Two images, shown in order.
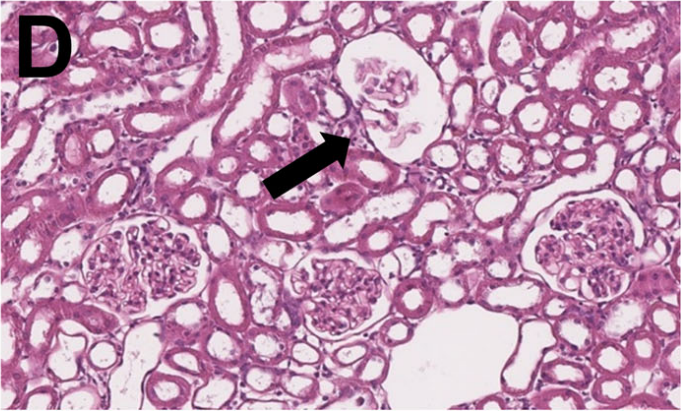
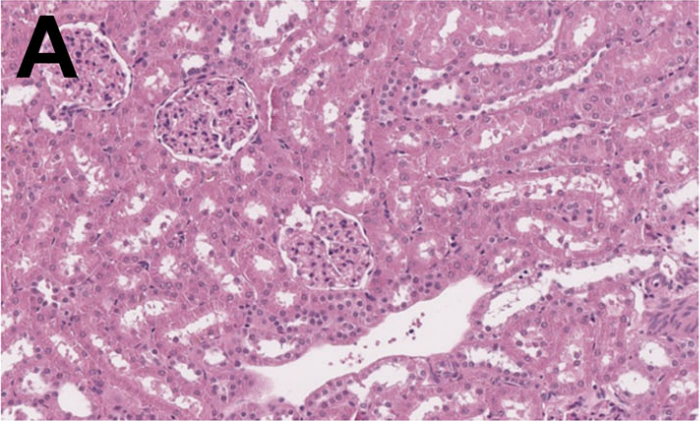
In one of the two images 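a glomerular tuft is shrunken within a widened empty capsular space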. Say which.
The first image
